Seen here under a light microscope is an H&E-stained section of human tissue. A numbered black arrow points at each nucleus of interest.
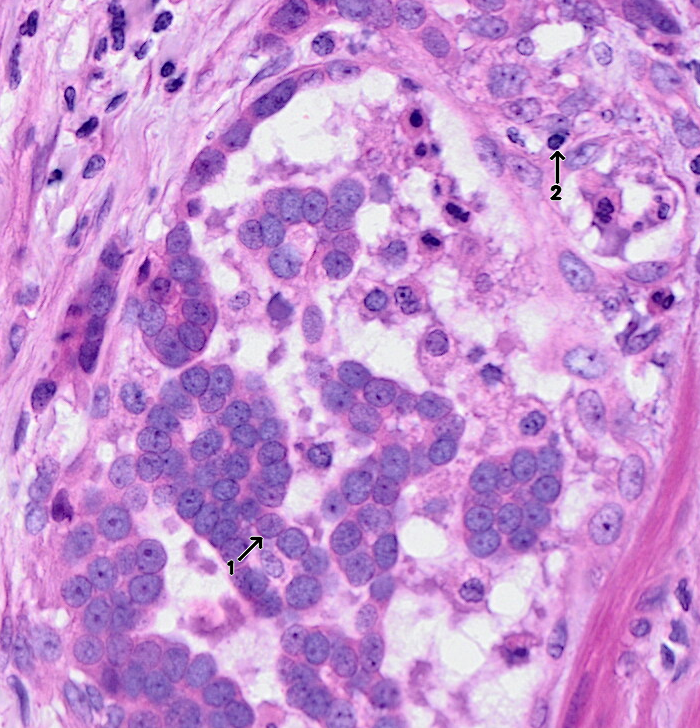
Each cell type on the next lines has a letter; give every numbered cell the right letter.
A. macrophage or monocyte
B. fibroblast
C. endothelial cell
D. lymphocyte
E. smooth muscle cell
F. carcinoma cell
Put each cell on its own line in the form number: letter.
1: F
2: D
